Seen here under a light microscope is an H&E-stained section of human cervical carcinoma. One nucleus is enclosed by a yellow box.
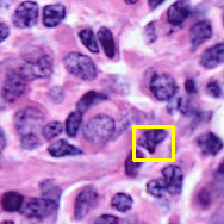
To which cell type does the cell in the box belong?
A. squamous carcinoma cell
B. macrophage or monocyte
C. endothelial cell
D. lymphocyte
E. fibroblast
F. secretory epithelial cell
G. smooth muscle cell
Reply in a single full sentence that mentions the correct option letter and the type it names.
Option D gets it right: the cell in the box is a lymphocyte.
